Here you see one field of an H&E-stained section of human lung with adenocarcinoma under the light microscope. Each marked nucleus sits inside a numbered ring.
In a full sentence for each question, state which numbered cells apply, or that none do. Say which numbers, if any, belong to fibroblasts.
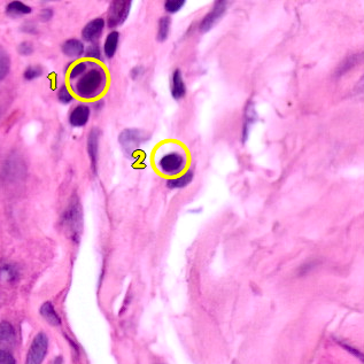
In short, fibroblasts do not occur among the numbered cells.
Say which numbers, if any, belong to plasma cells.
Of the cells bearing numbers, the only one that is a plasma cell is cell 1.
